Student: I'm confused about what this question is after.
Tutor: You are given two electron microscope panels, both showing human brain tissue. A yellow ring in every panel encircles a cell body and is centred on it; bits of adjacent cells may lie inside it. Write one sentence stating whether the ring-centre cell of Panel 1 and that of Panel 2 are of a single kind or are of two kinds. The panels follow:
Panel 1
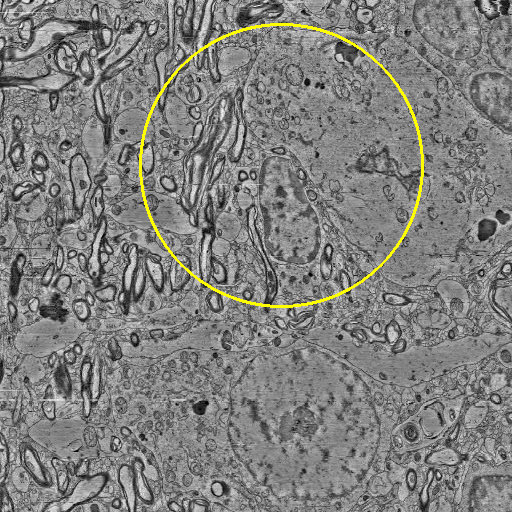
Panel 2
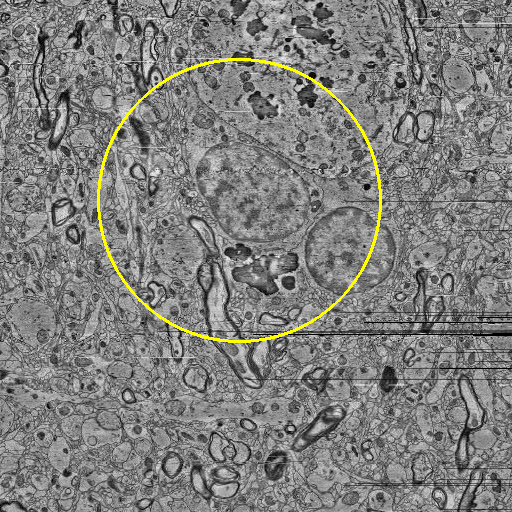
Here, the Panel 1 ring-centre cell and the Panel 2 ring-centre cell are of two kinds.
